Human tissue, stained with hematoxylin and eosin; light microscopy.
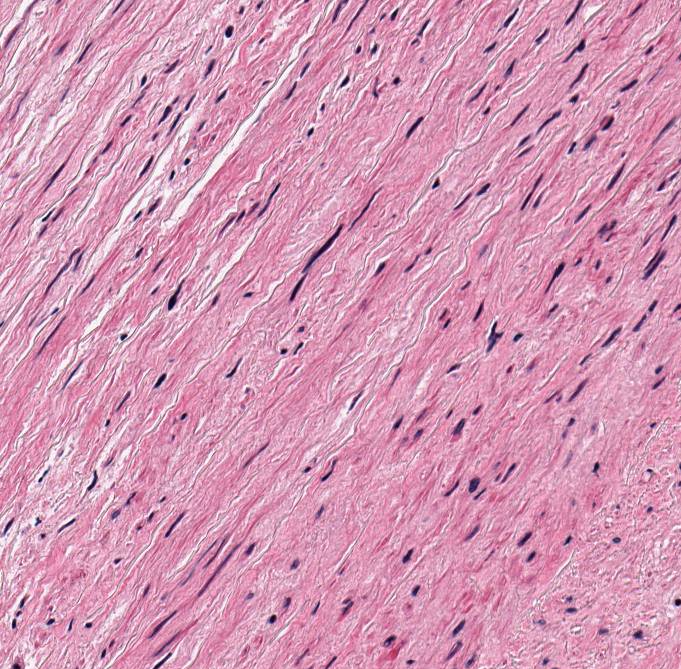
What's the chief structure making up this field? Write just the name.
tunica media of an artery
